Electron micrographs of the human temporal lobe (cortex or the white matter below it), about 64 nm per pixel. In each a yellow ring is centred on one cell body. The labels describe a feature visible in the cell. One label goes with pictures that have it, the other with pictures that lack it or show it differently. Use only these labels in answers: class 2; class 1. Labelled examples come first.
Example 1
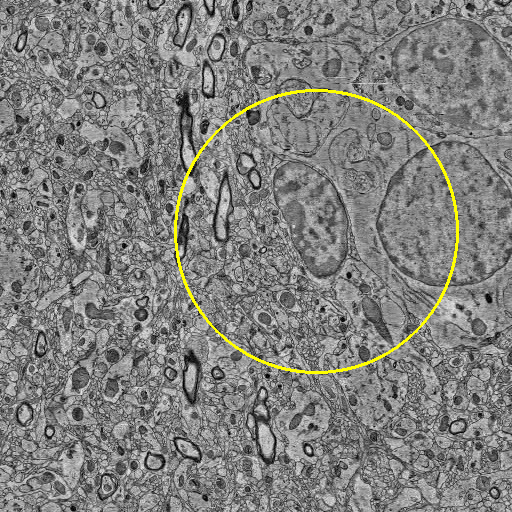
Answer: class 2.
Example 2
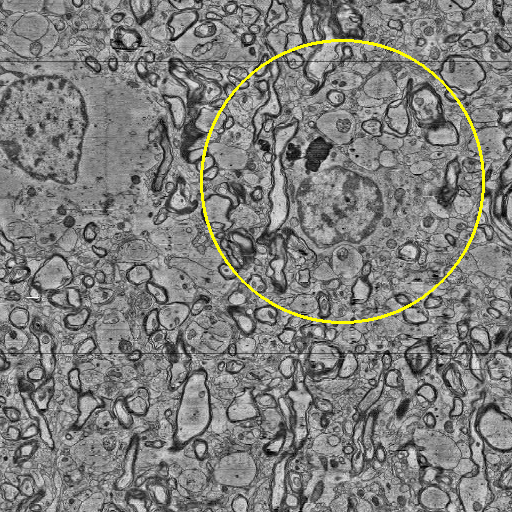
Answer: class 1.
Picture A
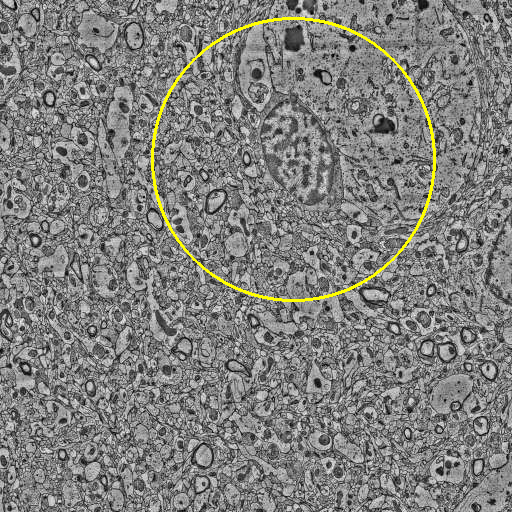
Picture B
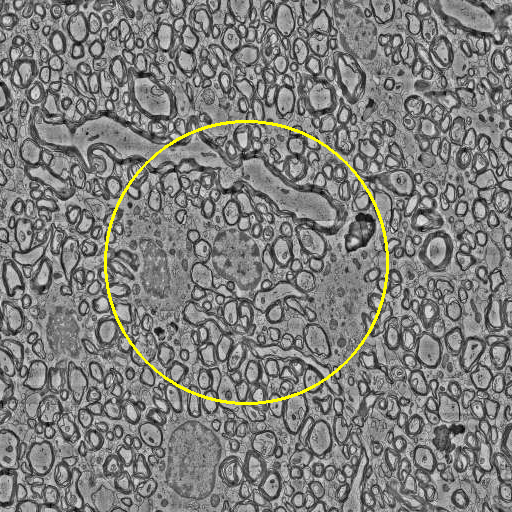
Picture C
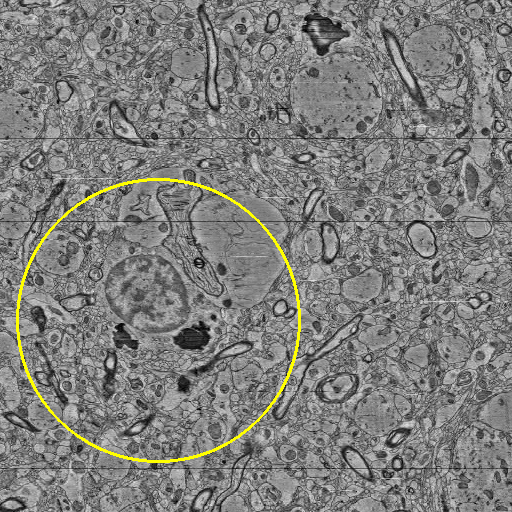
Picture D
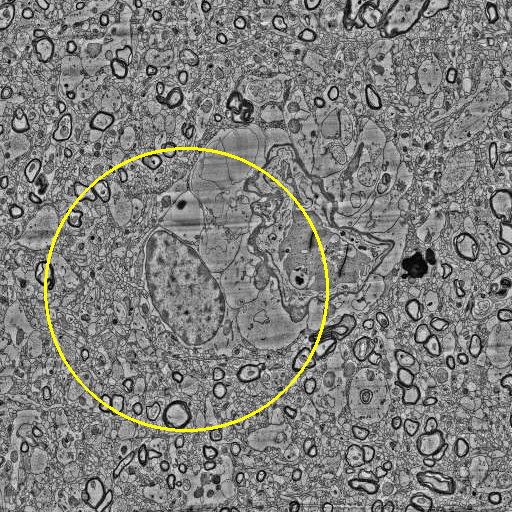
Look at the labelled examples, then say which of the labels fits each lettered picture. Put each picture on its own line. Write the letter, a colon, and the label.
A: class 2.
B: class 1.
C: class 1.
D: class 2.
